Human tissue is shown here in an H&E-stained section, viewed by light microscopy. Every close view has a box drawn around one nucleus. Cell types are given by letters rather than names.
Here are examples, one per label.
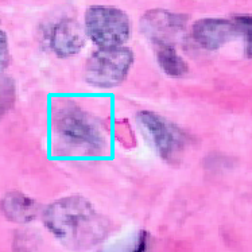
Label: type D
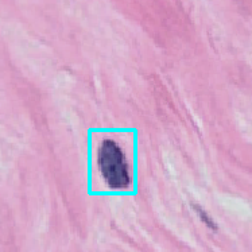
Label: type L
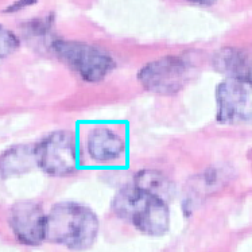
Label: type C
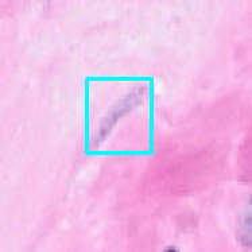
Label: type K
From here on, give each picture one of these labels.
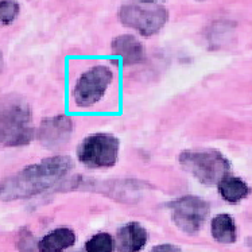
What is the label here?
type L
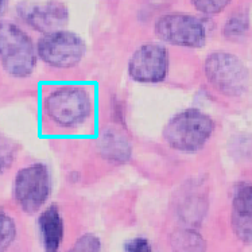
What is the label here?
type C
